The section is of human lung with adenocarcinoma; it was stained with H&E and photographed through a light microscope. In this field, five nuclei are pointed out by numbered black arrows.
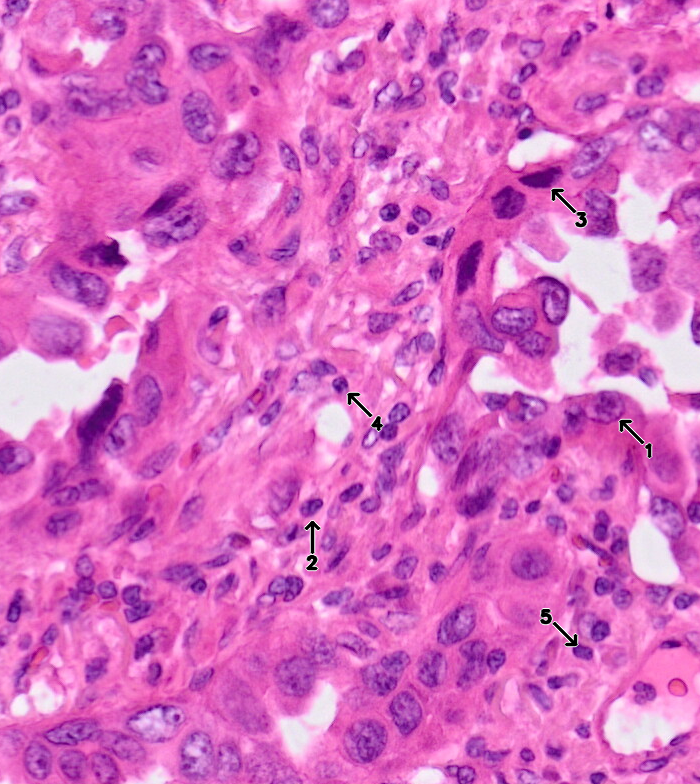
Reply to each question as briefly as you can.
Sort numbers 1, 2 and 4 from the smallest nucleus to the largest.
4, 2, 1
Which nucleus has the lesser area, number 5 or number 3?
5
